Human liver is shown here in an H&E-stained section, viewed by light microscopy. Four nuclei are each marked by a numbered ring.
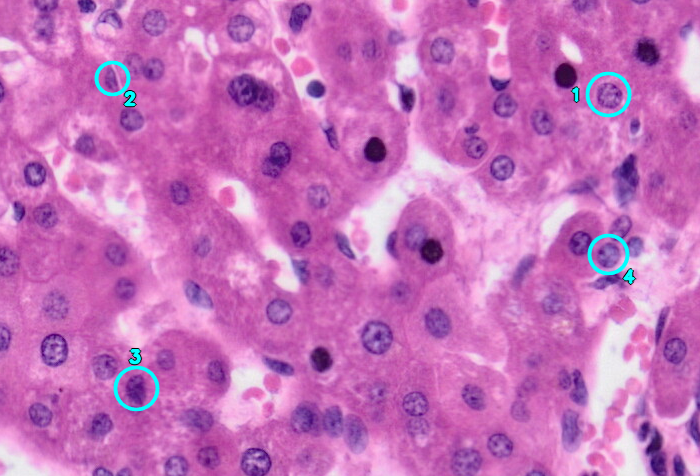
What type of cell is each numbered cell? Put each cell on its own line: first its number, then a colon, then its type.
1: hepatocyte
2: fibroblast or stellate cell
3: fibroblast or stellate cell
4: cholangiocyte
